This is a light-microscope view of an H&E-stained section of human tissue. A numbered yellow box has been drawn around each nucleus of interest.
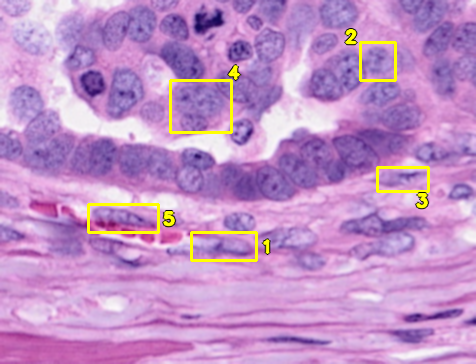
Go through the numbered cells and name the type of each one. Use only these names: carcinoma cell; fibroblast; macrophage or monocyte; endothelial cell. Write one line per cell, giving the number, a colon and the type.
1: endothelial cell
2: carcinoma cell
3: fibroblast
4: carcinoma cell
5: endothelial cell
